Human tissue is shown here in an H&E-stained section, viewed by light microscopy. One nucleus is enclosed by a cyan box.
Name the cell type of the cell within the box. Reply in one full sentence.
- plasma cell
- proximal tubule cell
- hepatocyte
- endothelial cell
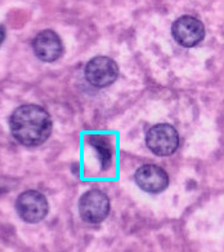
At the level of cell identity, the cell within the box is an endothelial cell.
